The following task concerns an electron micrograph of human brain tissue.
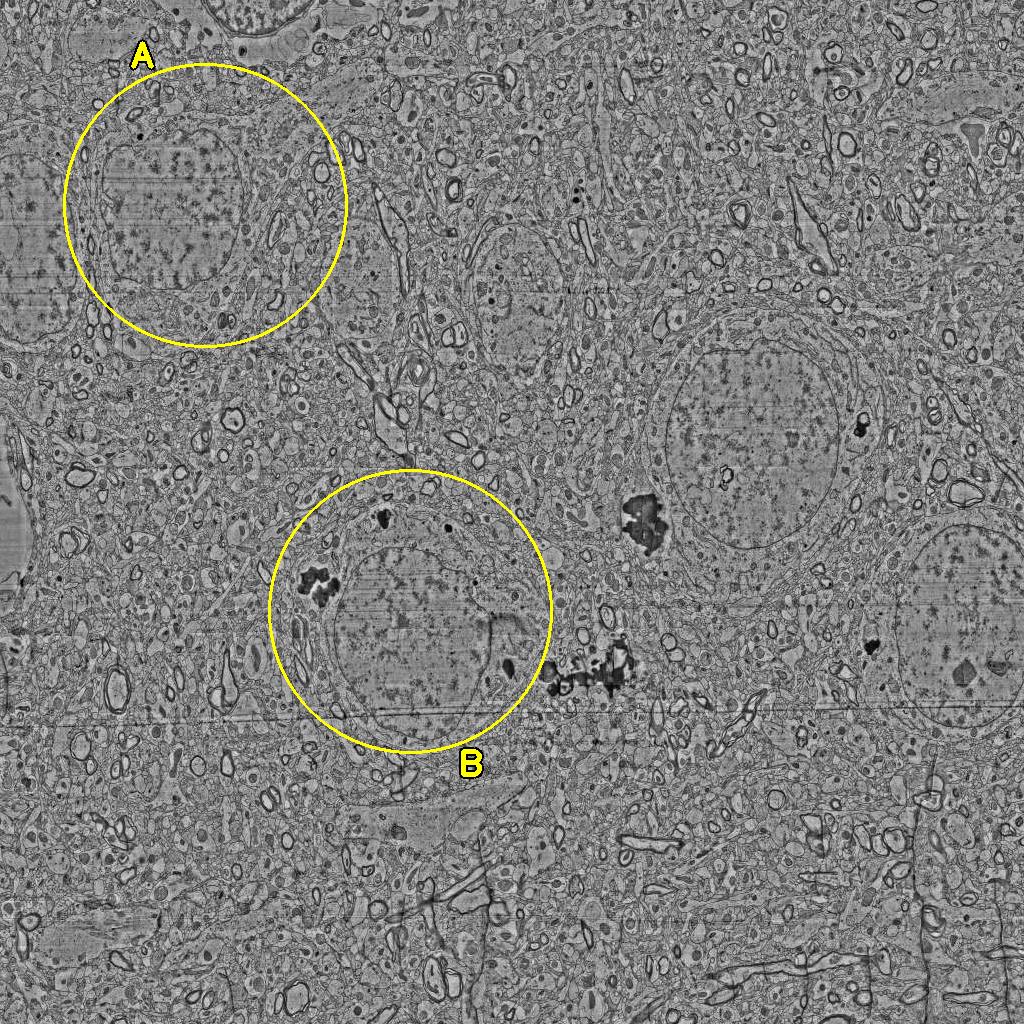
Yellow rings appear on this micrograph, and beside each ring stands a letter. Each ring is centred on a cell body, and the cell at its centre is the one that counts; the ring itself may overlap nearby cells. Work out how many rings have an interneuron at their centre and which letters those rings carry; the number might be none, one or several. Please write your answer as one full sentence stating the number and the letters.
Checking every lettered ring turns up none centred on an interneuron, so the count stands at zero.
